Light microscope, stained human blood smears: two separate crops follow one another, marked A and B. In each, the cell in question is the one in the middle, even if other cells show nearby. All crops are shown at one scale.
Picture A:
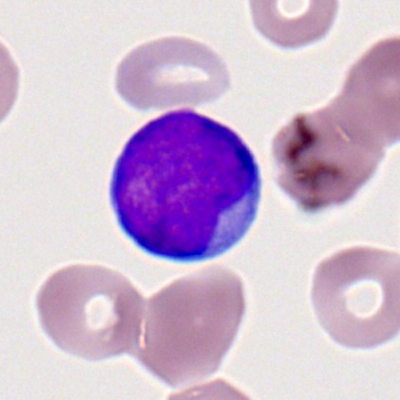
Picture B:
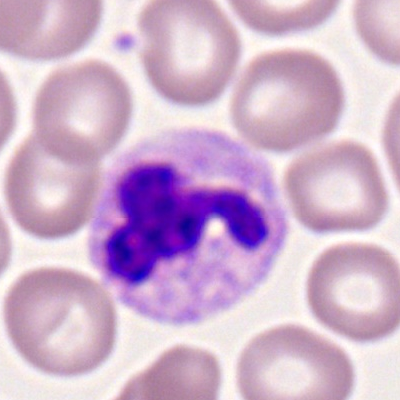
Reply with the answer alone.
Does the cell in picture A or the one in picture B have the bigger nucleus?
A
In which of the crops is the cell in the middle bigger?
B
